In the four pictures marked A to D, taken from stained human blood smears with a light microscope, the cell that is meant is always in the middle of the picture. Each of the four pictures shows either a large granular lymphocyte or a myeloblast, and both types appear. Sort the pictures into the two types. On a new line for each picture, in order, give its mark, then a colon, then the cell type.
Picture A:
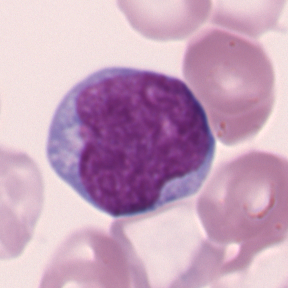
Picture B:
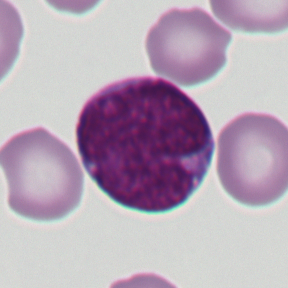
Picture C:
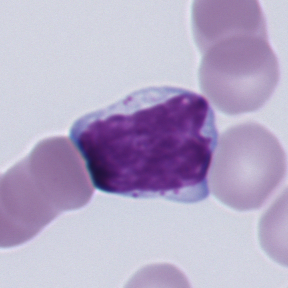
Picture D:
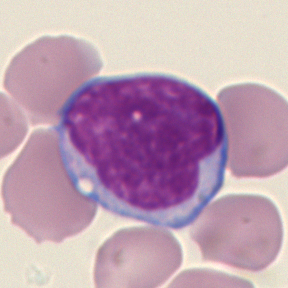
A: myeloblast
B: myeloblast
C: large granular lymphocyte
D: myeloblast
